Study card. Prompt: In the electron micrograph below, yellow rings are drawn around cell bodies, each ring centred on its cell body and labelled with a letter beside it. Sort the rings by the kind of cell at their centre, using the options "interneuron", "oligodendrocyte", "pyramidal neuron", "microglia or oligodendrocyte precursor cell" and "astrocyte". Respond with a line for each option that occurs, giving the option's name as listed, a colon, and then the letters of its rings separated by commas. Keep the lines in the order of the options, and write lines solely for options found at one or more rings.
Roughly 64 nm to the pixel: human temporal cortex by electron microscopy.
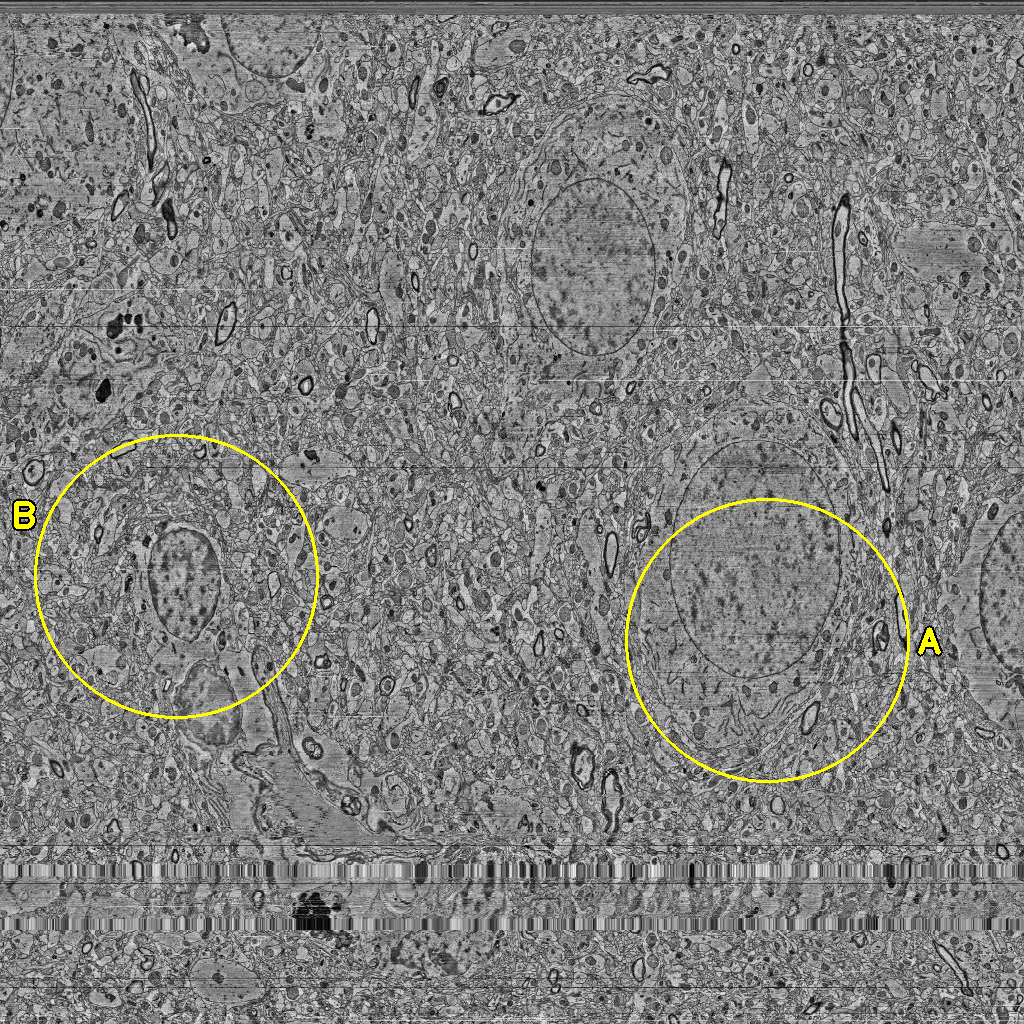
pyramidal neuron: A
microglia or oligodendrocyte precursor cell: B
